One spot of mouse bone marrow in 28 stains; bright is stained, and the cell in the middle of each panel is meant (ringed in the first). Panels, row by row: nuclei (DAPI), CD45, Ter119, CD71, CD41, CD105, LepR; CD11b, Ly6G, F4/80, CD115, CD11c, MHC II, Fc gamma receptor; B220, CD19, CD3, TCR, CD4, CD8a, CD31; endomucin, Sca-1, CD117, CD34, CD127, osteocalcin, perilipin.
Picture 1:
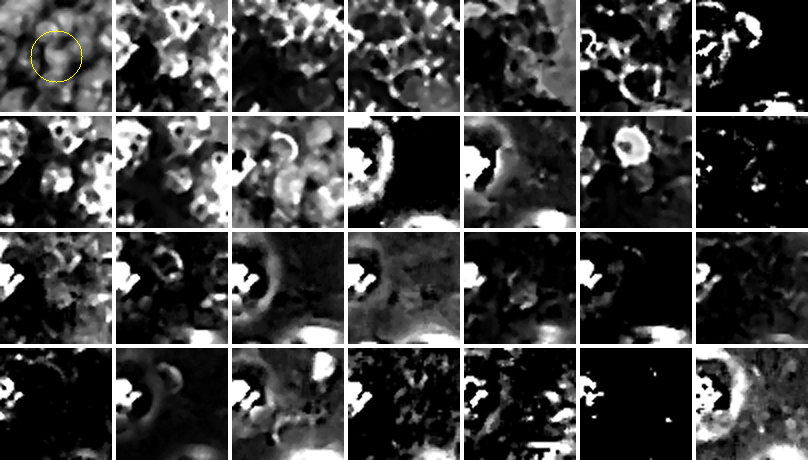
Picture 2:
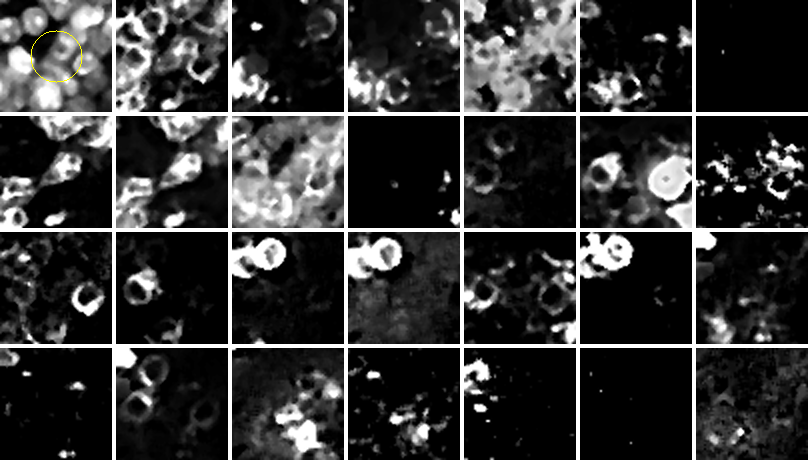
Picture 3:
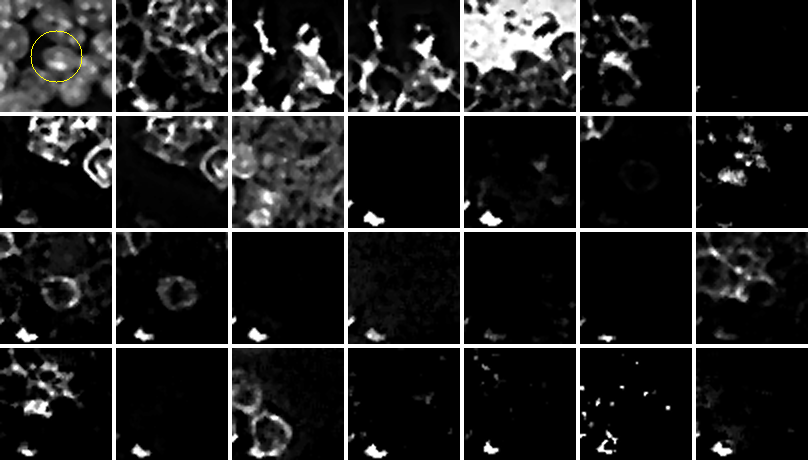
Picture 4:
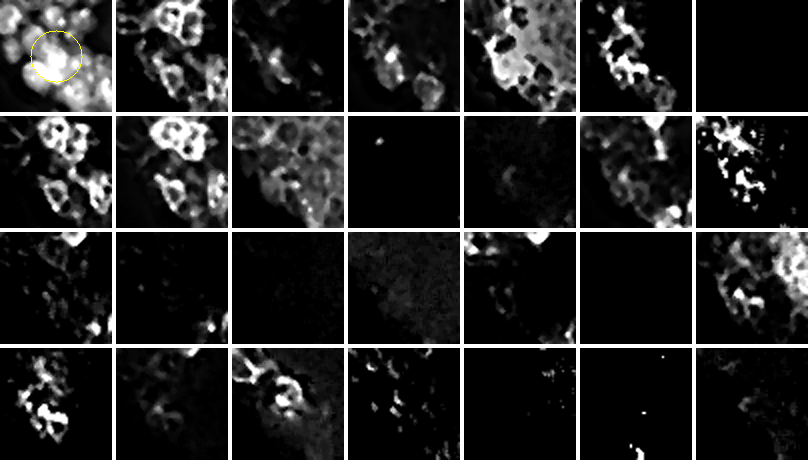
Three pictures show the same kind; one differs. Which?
Picture 3: a capillary endothelial cell, while the others are megakaryocyte progenitors.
